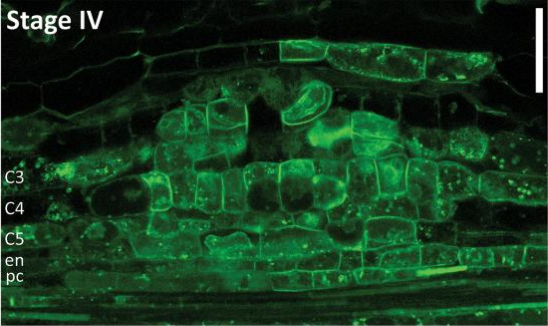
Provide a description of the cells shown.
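This is a root seen lengthwise, with a cluster of small, boxy cells forming a dome in the inner cortex above the thin endodermis and pericycle layers. The cells of the cluster are much shorter than the elongated cortical cells to either side and are stacked in several layers. Large outer cells with bright rims lie above the cluster.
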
